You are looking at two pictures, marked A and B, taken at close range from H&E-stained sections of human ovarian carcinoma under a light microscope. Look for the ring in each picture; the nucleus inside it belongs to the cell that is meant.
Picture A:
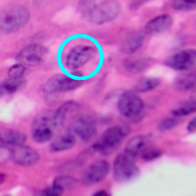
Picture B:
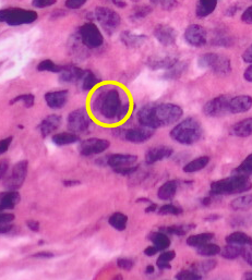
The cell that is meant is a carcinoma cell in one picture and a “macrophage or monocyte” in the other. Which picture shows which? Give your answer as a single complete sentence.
Picture B shows a carcinoma cell, while picture A shows a “macrophage or monocyte”.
